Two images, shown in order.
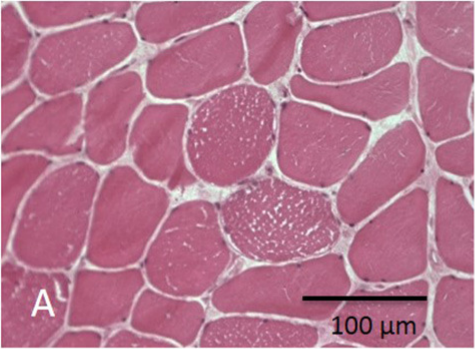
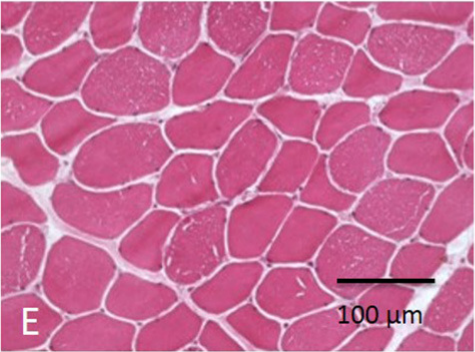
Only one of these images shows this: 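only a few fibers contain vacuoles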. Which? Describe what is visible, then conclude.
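Second image: many fibers across the field show small clear vacuoles. So: the first image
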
